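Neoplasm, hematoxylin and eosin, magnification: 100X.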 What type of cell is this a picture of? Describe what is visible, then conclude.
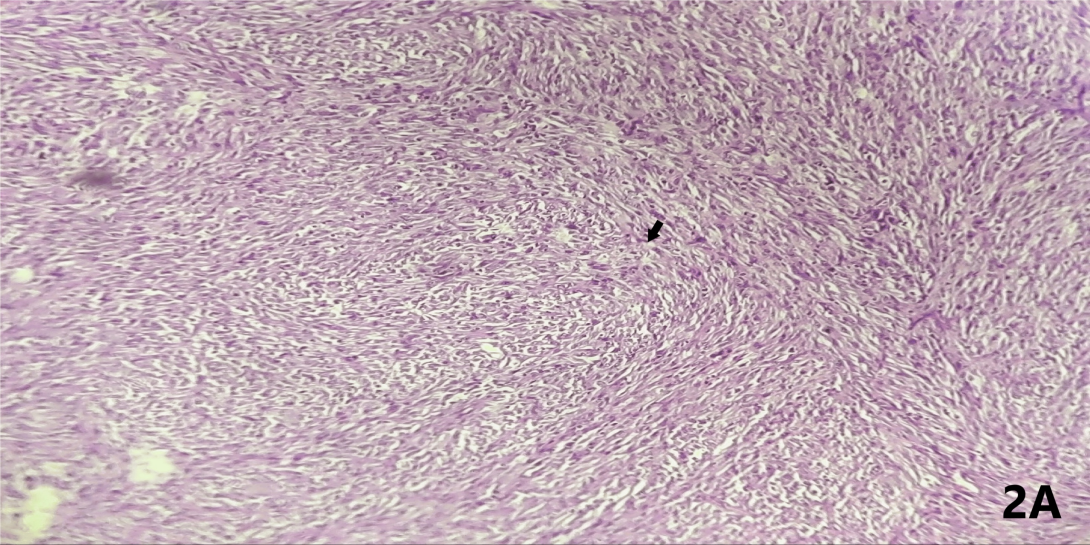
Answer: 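The tissue is densely cellular and made of elongated cells with elongated nuclei. The cells lie in streaming bundles that run in different directions. That points to this answer: spindle cells.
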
